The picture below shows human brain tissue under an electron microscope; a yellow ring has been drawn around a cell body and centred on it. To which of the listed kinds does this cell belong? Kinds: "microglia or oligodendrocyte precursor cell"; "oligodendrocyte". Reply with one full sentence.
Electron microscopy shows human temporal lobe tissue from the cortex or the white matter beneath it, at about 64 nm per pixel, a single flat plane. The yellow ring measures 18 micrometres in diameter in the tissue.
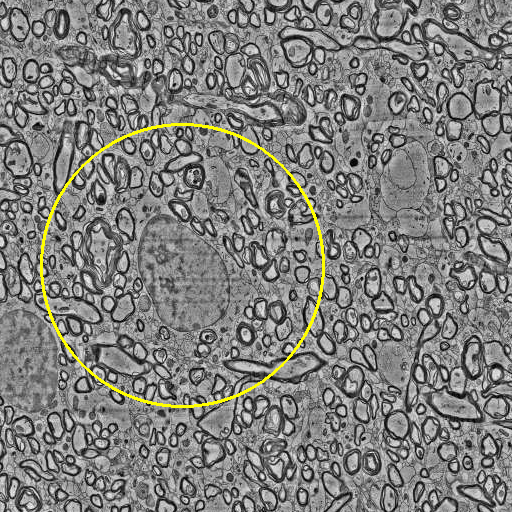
It is a microglial cell or oligodendrocyte precursor cell that the yellow ring in the picture is centred on.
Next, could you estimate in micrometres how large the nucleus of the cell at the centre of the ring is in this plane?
In this plane, the nucleus of the cell at the centre of the ring measures about 8 by 5 micrometres.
